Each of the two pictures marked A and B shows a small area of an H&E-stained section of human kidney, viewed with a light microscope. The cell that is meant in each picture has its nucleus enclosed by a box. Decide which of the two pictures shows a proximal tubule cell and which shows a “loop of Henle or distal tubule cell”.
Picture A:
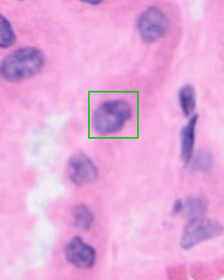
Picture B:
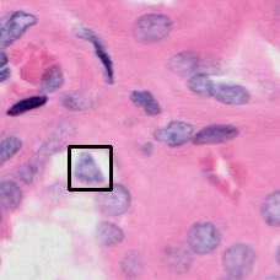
A: proximal tubule cell
B: loop of Henle or distal tubule cell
